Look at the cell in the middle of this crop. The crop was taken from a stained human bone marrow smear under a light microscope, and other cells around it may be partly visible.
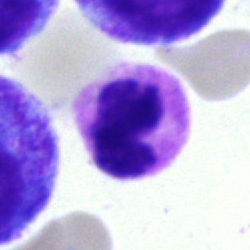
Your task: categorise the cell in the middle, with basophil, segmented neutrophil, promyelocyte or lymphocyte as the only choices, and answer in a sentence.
Positioned in the middle of the crop is a basophil.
